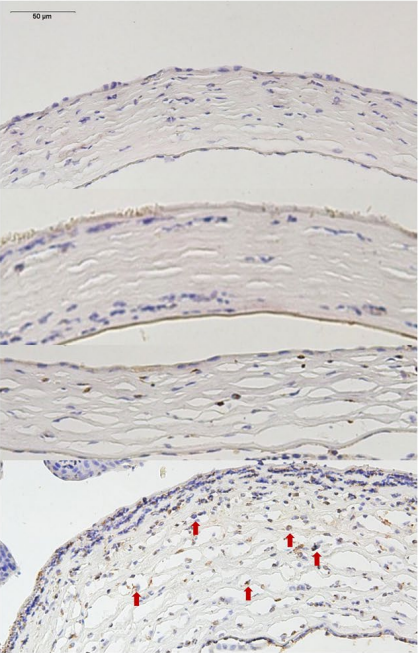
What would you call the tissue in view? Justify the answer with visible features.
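A thin layered epithelium covers one surface of the sections. The bulk of the tissue is made of parallel, regularly stacked lamellae with flat, elongated nuclei between them. The tissue is avascular and curves gently along its length.
Answer: cornea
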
